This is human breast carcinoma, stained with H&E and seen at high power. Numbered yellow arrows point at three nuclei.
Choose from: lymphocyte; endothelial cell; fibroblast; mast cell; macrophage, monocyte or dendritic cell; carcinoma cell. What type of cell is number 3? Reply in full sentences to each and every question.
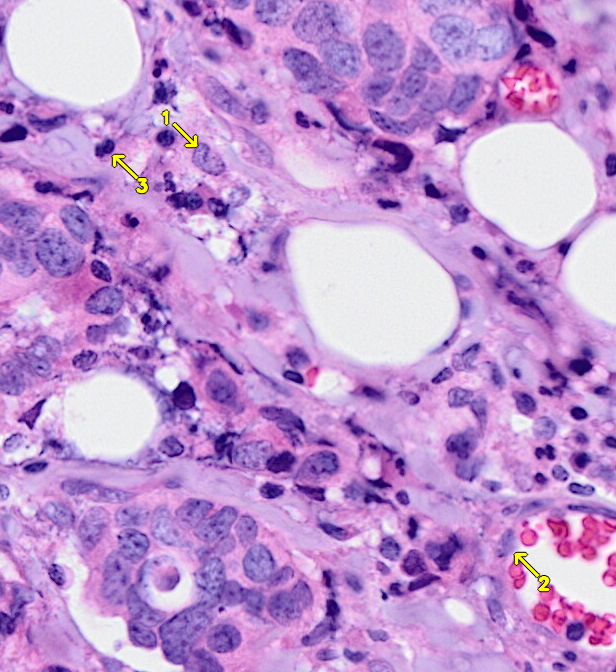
Denoted by the label 3 in the section is a lymphocyte.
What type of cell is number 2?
The cell carrying label 2 is identified as an endothelial cell.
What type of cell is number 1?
Cell 1 in the field is a macrophage, monocyte or dendritic cell.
